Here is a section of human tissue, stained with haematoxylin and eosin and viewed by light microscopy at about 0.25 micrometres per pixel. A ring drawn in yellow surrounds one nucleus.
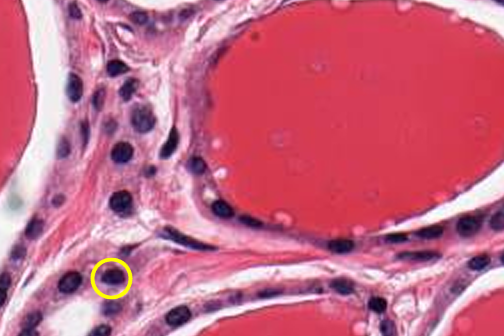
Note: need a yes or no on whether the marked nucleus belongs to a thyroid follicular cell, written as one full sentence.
Yes, the nucleus singled out in the image belongs to a thyroid follicular cell.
